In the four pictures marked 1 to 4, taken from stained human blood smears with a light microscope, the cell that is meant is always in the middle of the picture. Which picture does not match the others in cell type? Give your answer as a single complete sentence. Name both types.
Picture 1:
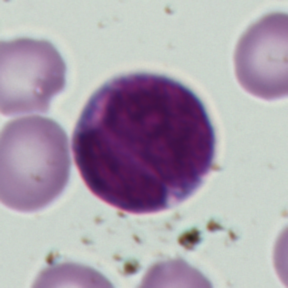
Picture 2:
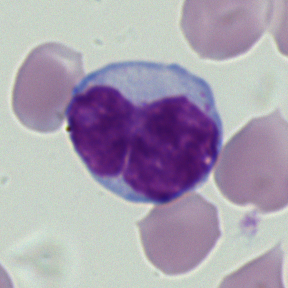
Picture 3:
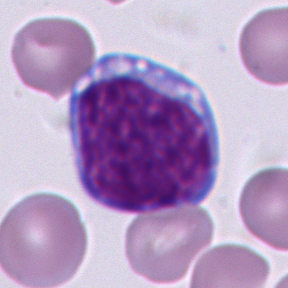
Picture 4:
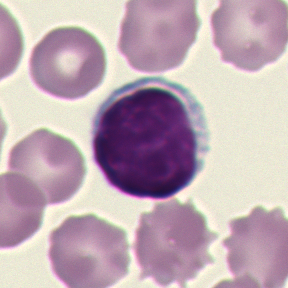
Picture 4 differs, because its cell is a typical lymphocyte and the rest are myeloblasts.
